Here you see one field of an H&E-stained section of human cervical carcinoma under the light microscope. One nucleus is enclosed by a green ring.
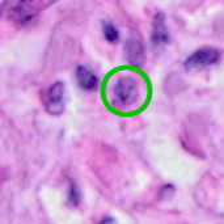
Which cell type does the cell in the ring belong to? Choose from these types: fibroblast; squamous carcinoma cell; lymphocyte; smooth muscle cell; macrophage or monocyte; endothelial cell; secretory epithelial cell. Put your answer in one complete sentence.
Right, so the cell in the ring is a macrophage or monocyte, to answer that.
